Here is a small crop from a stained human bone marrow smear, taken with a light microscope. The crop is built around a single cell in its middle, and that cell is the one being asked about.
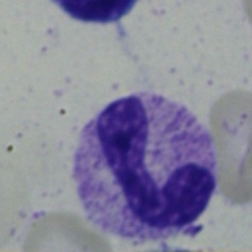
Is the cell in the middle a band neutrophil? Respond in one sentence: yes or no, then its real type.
Yes, as regards the cell in the middle, it is a band neutrophil.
